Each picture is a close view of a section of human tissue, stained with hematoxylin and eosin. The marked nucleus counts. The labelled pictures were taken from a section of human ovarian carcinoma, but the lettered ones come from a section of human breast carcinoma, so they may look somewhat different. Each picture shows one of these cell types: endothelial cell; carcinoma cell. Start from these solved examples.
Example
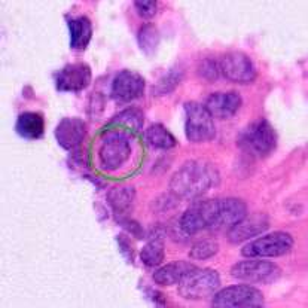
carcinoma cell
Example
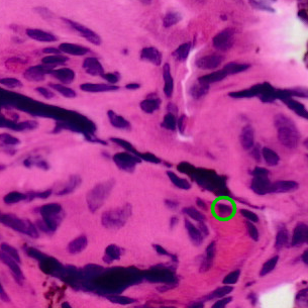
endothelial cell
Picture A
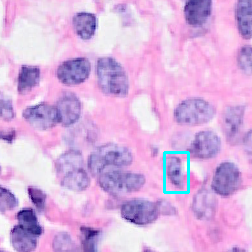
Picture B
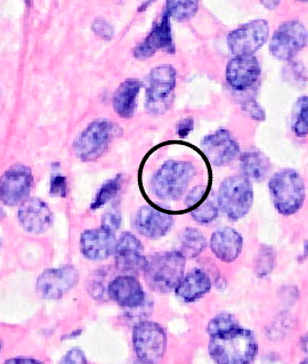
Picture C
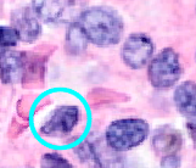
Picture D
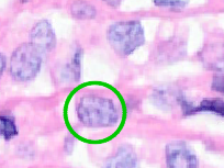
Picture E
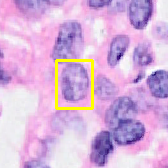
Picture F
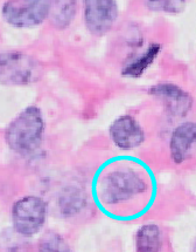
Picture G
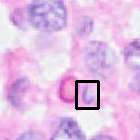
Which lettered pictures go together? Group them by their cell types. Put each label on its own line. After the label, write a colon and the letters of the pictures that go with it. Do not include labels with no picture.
endothelial cell: A, C, G
carcinoma cell: B, D, E, F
